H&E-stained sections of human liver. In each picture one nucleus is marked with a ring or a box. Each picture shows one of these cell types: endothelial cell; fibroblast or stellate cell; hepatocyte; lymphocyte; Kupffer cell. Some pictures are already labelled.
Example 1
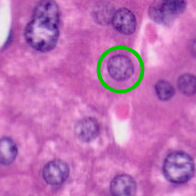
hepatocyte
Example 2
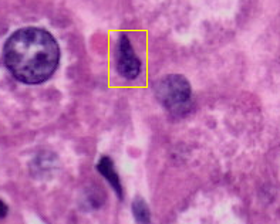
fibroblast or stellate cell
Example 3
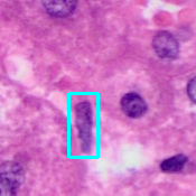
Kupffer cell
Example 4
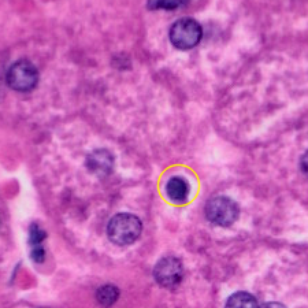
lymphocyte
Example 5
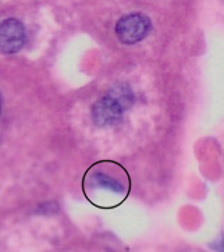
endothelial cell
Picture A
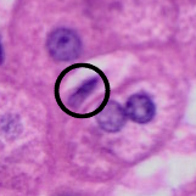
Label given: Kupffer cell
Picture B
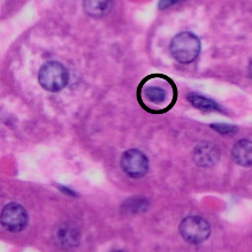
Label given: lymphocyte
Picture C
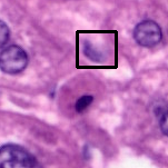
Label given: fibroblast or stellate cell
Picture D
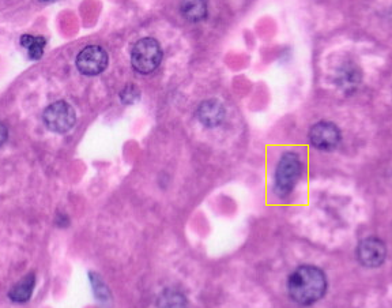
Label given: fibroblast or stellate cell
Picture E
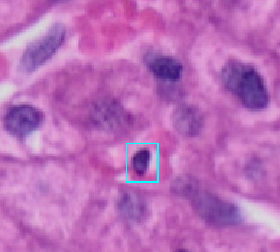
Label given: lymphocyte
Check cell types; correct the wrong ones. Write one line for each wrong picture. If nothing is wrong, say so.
C: endothelial cell, not fibroblast or stellate cell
